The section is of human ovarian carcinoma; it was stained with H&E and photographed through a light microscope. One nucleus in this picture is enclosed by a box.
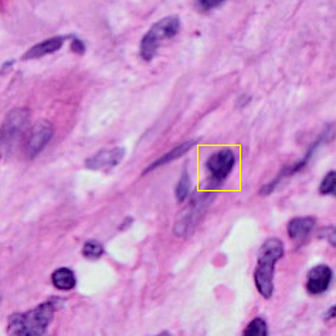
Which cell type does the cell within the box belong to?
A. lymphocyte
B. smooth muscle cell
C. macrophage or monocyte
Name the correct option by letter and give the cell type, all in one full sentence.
Among the choices, option A is correct, the cell within the box being a lymphocyte.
